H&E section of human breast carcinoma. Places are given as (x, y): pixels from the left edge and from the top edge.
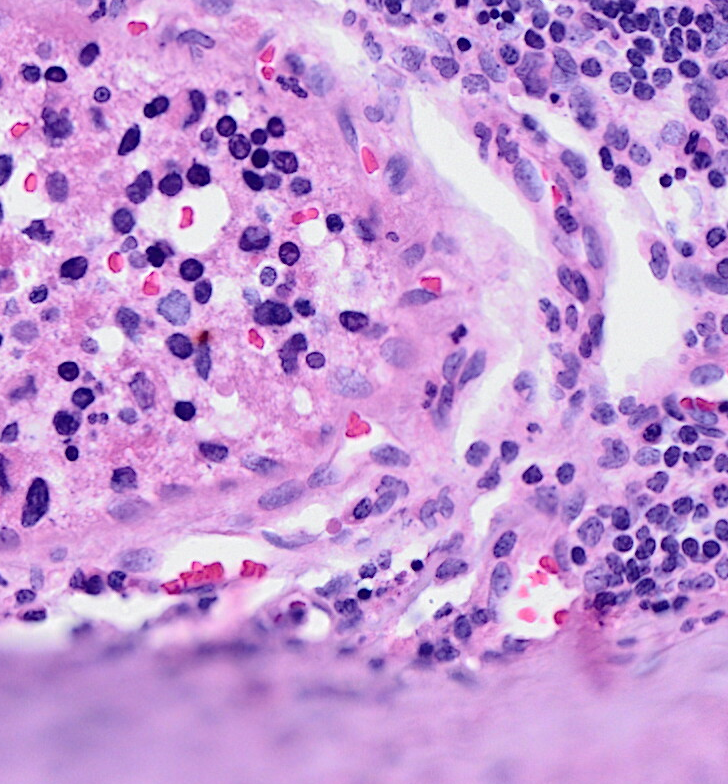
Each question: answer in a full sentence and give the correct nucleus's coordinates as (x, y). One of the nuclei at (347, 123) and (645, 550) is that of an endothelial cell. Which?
The nucleus belonging to an endothelial cell is the one at (347, 123).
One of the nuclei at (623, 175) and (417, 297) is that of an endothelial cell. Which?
Between the pair, the nucleus at (417, 297) belongs to an endothelial cell.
